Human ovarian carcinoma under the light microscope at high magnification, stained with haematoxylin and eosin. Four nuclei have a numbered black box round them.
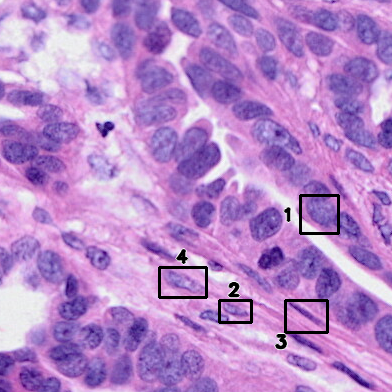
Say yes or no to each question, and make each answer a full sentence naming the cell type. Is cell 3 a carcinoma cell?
No, what number 3 shows is a fibroblast, not a carcinoma cell.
